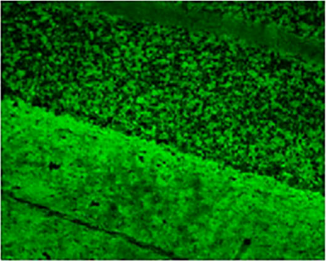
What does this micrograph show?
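This section of cerebellar cortex shows two layers of unlike brightness. In the lower left the molecular layer is an even, intensely green band with little texture. Above it the granular layer appears as a field of densely packed small dots, dimmer green. The boundary between the two runs diagonally across the field.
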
